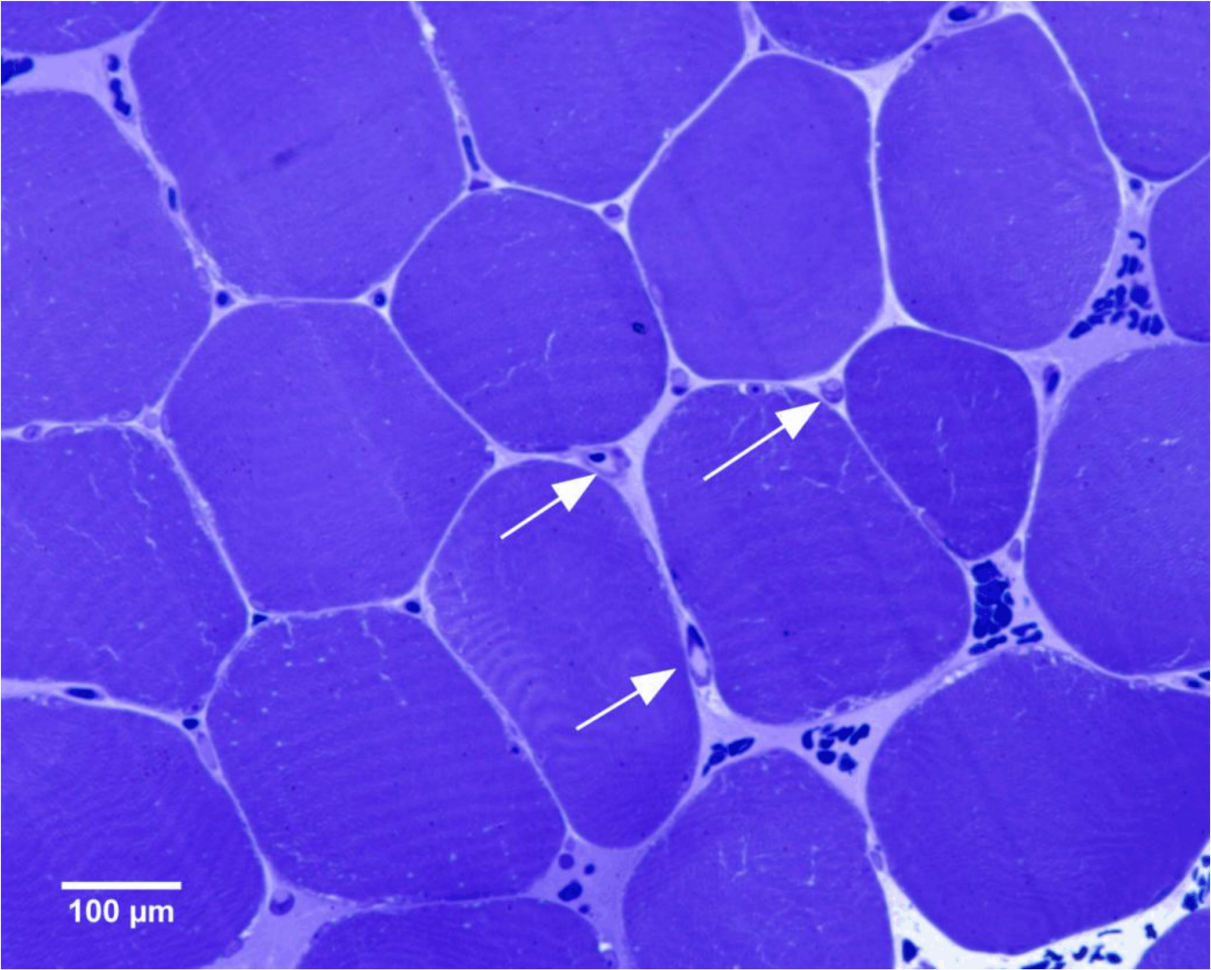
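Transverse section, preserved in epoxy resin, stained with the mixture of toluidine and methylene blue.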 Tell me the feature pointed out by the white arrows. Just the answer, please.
Capillaries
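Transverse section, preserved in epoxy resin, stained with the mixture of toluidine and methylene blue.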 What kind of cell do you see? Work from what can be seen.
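Large polygonal profiles, evenly stained deep blue, fill the field. The profiles are closely packed and separated by thin pale partitions. Small dark nuclei lie at the edges of the profiles. So: muscle fibers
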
